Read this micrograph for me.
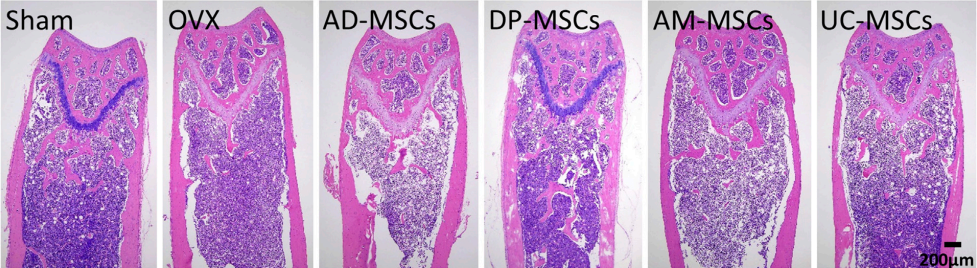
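Six lengthwise sections through the end of a long bone lie side by side, each with pink walls of compact bone, a wavy purple-blue band of growth-plate cartilage across the end, and pink struts of spongy bone above and below it. The marrow cavity is packed with small dark purple blood-forming cells, scattered with round empty white holes of fat cells; in several of the sections the struts below the cartilage band are sparse and the marrow is loosened by many such holes. This is the distal femur, with its marrow and trabecular bone.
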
